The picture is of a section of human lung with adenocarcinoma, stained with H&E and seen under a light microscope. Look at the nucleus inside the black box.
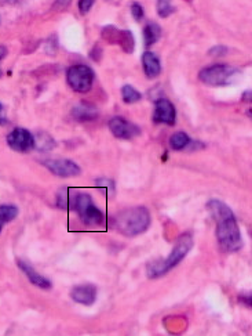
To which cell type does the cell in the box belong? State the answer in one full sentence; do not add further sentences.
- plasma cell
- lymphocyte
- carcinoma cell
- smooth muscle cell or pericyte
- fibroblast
In terms of identity, the cell in the box is a plasma cell.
